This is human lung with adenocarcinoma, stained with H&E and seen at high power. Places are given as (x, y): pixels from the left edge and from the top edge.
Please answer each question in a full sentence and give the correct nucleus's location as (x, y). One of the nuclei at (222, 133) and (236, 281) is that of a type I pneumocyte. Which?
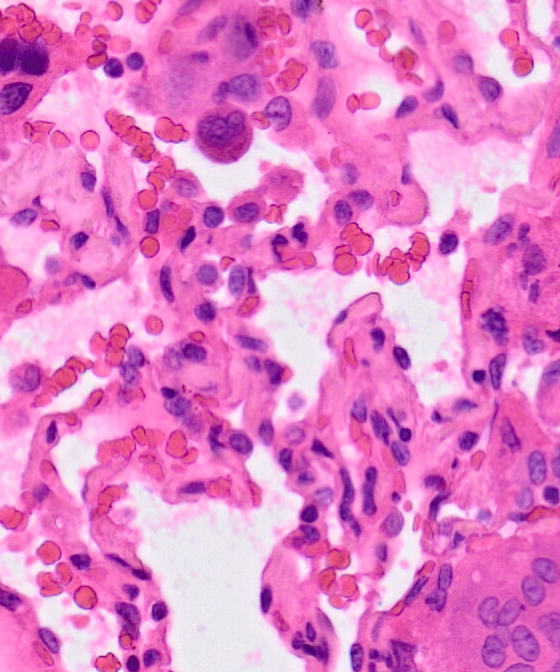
The nucleus at (236, 281) is assigned to a type I pneumocyte.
